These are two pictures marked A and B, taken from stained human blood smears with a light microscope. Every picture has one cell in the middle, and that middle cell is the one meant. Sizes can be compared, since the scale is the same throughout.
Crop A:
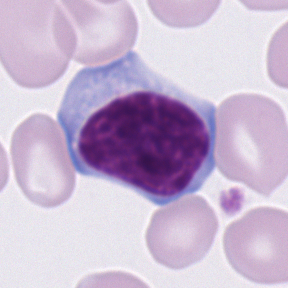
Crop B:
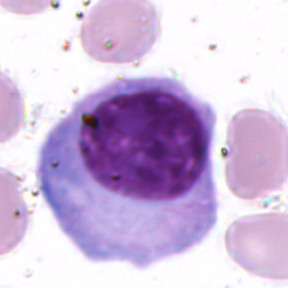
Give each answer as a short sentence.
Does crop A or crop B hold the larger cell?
It is the cell in crop B, about 1.5 times as large in area as the cell in crop A.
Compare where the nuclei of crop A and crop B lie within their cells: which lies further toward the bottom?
The nucleus in crop A lies further toward the bottom of its cell.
